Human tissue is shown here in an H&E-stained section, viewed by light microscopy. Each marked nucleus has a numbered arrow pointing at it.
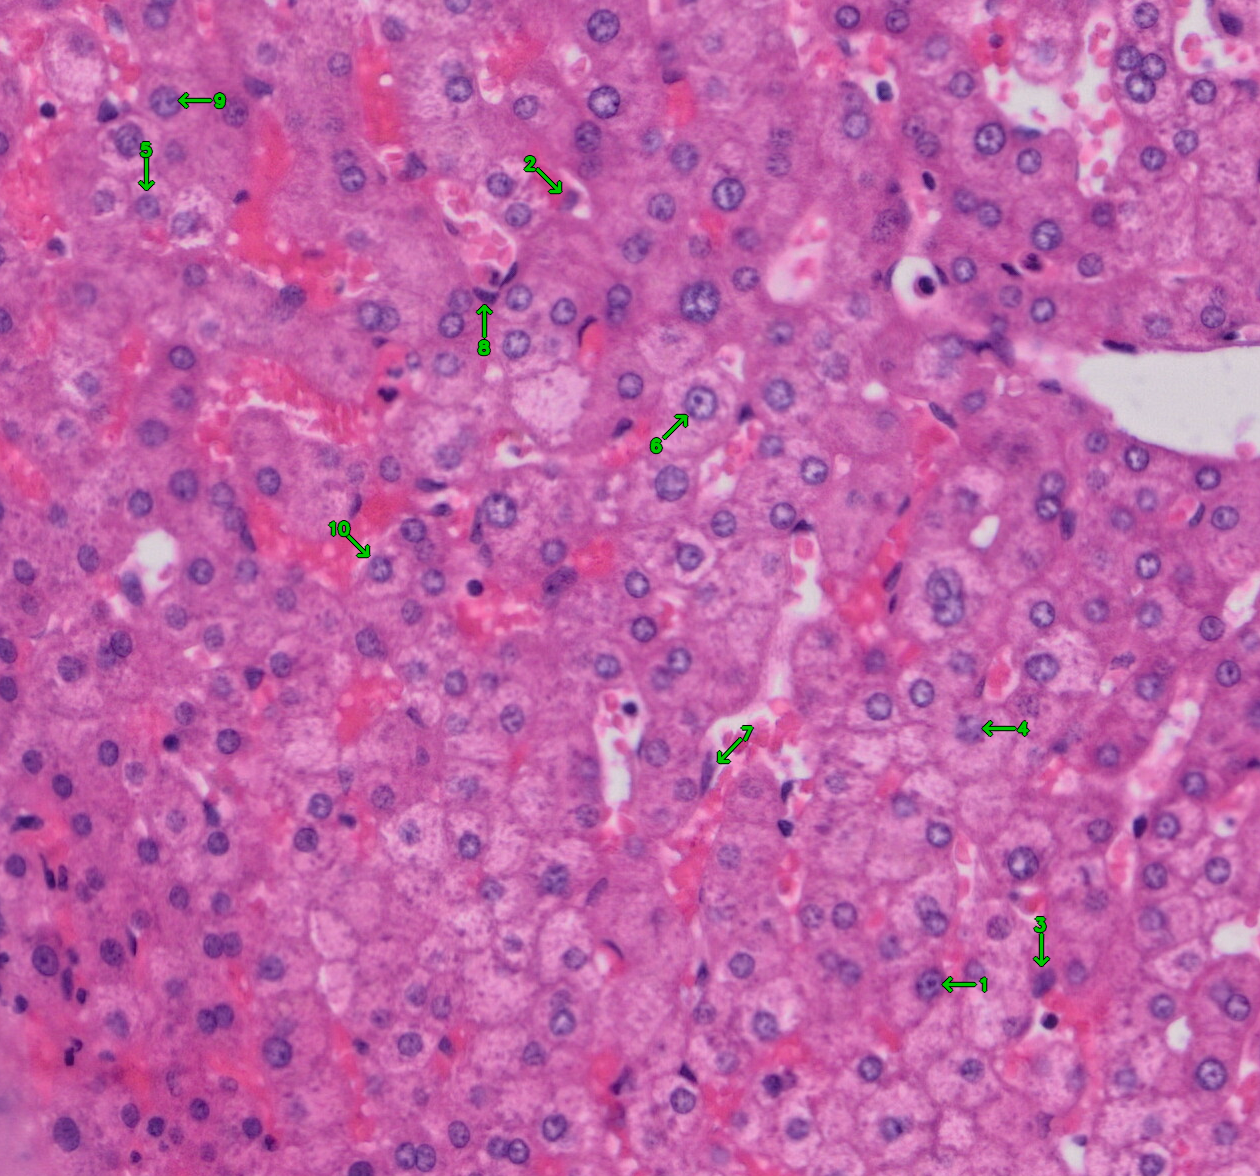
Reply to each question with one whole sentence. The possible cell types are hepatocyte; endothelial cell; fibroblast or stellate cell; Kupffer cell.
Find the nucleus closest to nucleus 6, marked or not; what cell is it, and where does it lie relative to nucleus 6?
The closest nucleus belongs to a fibroblast or stellate cell and sits to the right of nucleus 6.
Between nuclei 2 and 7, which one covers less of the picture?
It is nucleus 2; nucleus 7 has about 1.5 times its area.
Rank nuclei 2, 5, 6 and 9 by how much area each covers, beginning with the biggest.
The nuclei rank 6, 9, 5, 2, from largest to smallest.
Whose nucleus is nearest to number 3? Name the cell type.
Closest to number 3 lies the nucleus of a hepatocyte.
